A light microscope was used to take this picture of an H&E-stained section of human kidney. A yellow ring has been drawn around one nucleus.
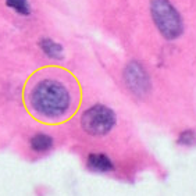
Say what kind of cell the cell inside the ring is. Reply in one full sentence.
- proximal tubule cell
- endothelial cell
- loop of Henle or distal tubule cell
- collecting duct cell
In terms of identity, the cell inside the ring is a loop of Henle or distal tubule cell.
